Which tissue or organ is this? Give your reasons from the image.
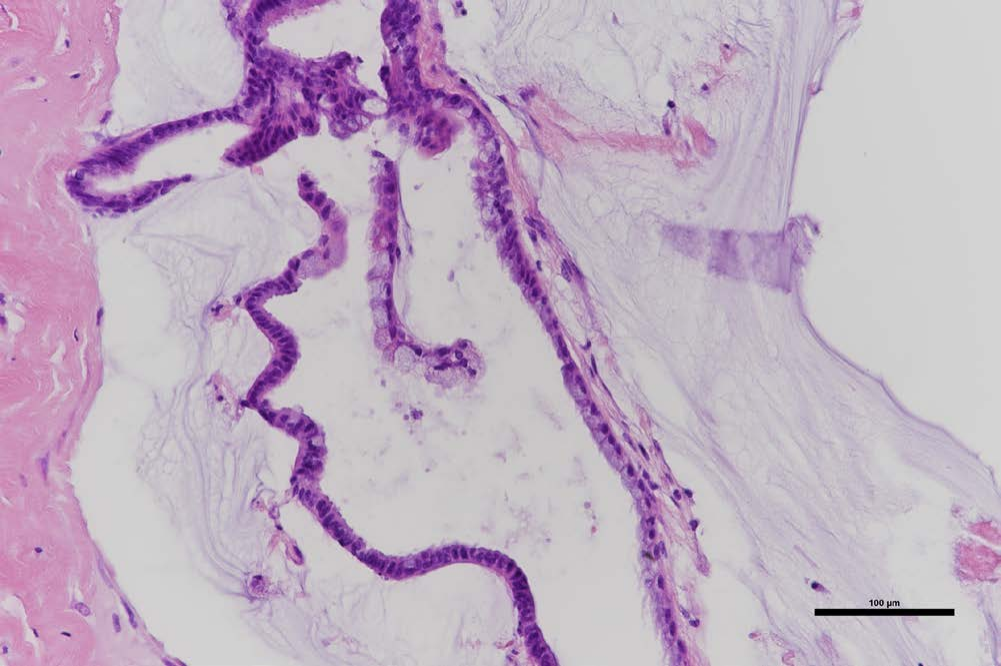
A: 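Simple columnar and cuboidal mucinous epithelium. Folded strips of cells are one cell layer thick. The cells vary from tall to about as tall as wide. Nuclei are dark purple and lie toward the base of the cells. Pale, wispy bluish-pink material fills the spaces beside the lining.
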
